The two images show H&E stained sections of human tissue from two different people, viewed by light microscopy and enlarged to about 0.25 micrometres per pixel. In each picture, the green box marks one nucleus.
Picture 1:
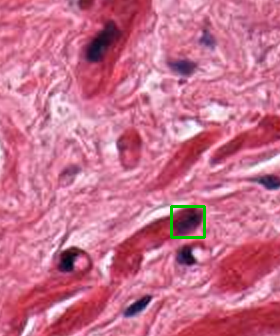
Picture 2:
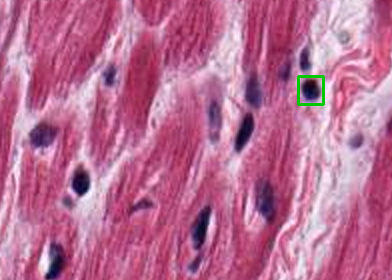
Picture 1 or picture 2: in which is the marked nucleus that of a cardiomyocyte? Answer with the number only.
1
